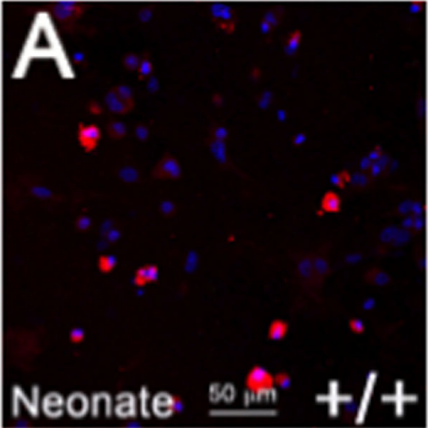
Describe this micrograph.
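Red staining is compact and bright, held tightly around or over small blue nuclei, with no strands extending into the surrounding space. Other blue nuclei lie without obvious red staining. The cells show no common orientation and are separated by dark, largely unstained background.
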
